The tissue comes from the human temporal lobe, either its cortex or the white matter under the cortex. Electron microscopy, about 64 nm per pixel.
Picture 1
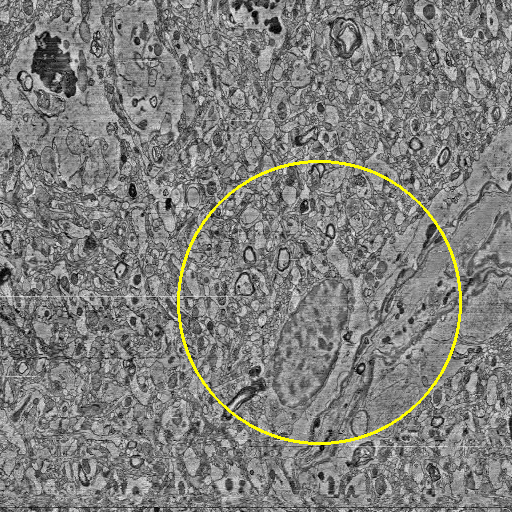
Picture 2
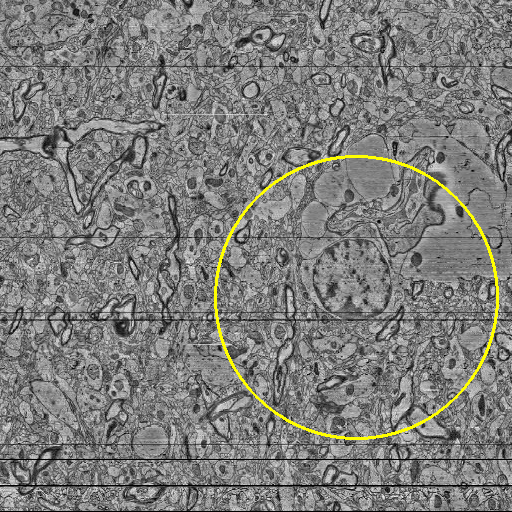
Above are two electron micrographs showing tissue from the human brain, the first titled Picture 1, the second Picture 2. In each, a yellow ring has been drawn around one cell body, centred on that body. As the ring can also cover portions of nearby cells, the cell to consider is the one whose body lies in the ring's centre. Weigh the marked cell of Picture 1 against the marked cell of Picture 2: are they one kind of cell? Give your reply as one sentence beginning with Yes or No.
No, the two cells sitting at the ring centres in the pictures are of two kinds.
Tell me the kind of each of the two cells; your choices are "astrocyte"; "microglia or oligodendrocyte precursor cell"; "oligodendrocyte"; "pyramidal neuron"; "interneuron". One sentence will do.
The ringed cell is an oligodendrocyte in the first picture and a microglial cell or oligodendrocyte precursor cell in the second picture.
